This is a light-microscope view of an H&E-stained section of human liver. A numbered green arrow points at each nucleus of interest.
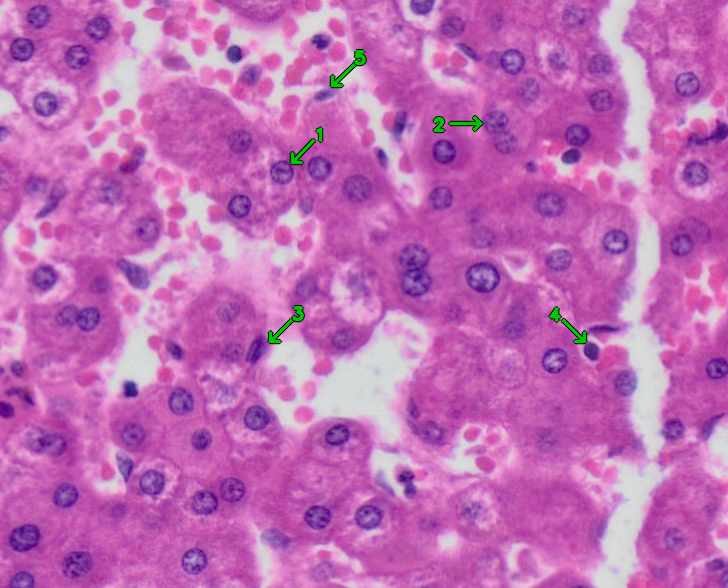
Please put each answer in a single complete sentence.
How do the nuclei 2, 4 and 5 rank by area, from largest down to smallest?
Largest first, the order by area is 2, 4, 5.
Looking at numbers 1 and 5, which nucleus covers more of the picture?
The larger nucleus is 1, at roughly 2.5 times the area of 5.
